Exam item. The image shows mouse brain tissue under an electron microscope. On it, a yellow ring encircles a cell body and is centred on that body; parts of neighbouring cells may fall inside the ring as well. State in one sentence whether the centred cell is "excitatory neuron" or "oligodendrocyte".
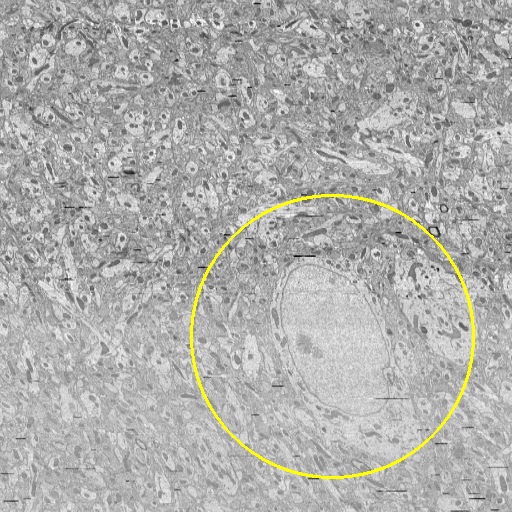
The cell body centred in the ring is an excitatory neuron.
